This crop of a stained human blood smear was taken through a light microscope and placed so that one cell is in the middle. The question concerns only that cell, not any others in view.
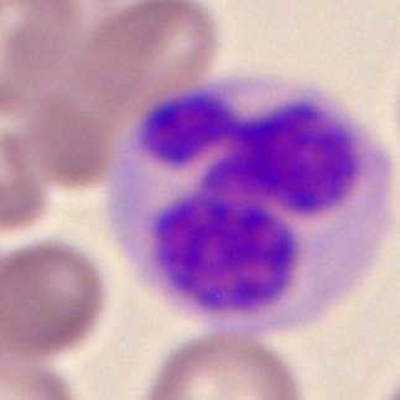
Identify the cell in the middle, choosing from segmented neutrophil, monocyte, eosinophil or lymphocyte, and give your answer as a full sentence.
This crop's central cell is a monocyte.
